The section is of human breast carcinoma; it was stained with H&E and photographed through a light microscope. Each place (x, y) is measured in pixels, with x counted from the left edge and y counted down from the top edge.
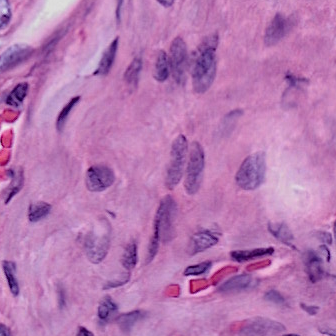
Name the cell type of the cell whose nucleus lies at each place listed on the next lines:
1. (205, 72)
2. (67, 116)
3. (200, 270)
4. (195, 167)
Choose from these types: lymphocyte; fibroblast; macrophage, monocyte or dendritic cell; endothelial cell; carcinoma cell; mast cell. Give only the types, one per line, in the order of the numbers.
fibroblast
fibroblast
endothelial cell
fibroblast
